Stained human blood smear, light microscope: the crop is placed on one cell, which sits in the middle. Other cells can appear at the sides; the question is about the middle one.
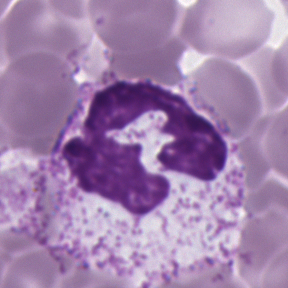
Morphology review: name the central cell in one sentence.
At the middle of the frame sits a neutrophil.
